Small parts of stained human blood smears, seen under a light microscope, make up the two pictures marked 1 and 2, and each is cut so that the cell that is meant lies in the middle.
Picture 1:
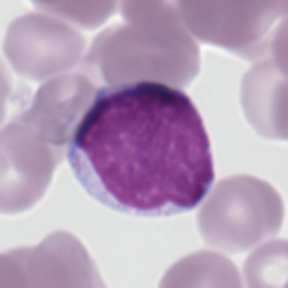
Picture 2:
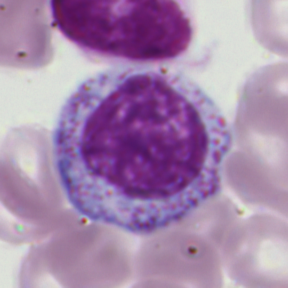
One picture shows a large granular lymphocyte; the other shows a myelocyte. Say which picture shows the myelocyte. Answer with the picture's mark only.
2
